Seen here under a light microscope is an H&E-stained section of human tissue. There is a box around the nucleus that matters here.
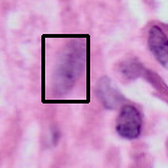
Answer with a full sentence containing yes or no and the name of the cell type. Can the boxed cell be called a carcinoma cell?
No, the boxed cell is regarded as a fibroblast rather than a carcinoma cell.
